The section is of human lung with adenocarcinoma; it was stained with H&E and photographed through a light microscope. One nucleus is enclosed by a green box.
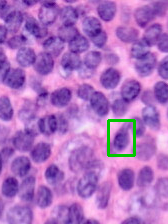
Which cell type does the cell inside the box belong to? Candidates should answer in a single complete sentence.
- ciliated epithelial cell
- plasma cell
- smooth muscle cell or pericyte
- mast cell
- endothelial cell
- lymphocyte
In the context of this tissue, the cell inside the box is a lymphocyte.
